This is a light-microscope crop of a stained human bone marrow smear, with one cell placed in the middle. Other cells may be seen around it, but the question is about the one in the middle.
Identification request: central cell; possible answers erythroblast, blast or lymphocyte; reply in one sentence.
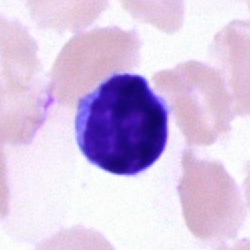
For this crop, the cell in the middle is a lymphocyte.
